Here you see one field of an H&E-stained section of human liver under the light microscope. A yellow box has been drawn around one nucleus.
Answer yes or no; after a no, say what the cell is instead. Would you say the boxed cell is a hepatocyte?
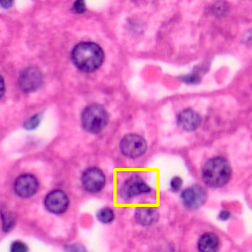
No, it is a fibroblast or stellate cell.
